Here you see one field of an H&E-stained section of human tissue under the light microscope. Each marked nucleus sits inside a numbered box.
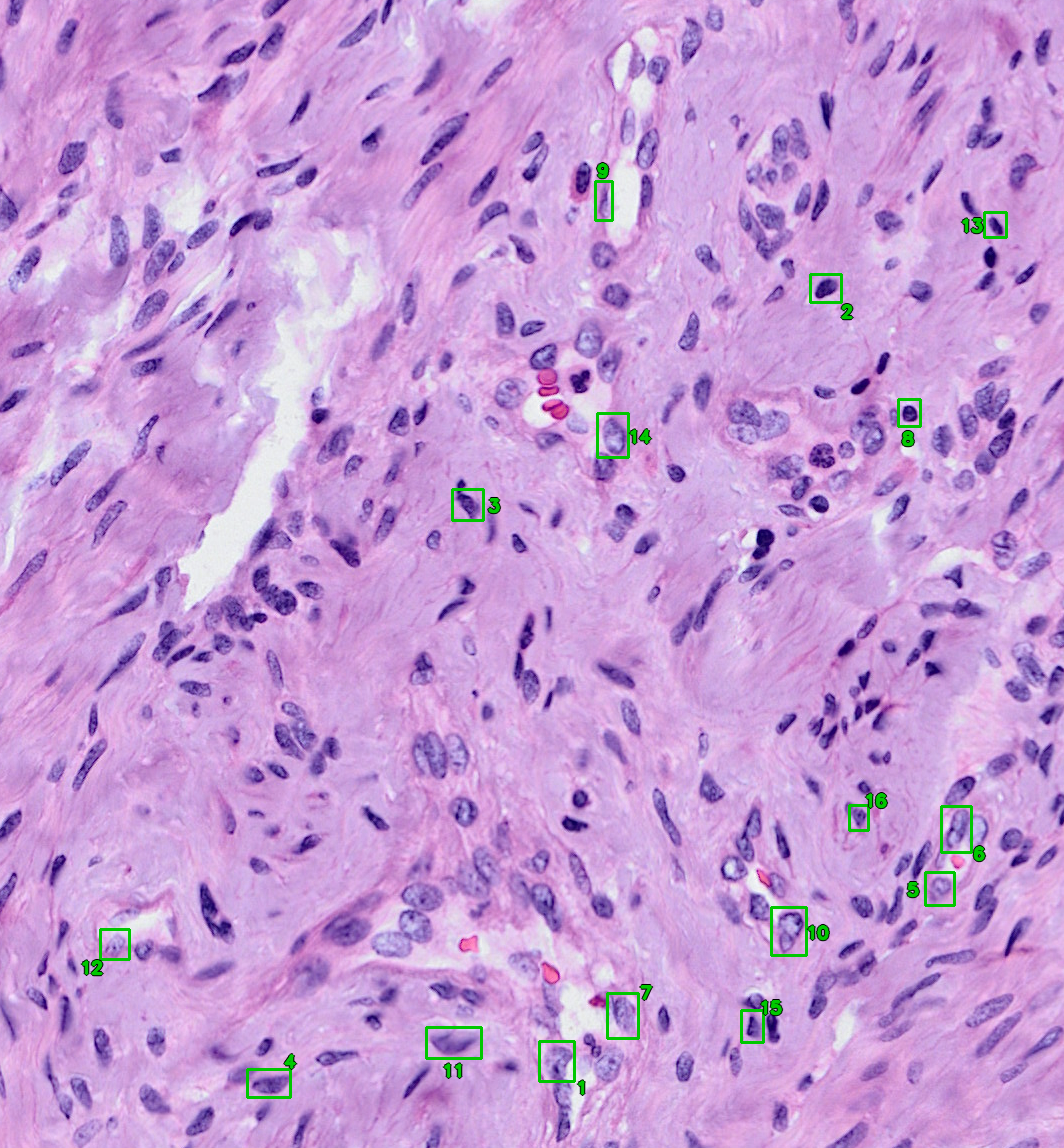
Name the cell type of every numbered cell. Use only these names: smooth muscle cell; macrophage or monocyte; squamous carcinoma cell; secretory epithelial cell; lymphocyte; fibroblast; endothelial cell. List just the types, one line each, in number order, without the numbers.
endothelial cell
lymphocyte
fibroblast
fibroblast
endothelial cell
endothelial cell
endothelial cell
lymphocyte
endothelial cell
endothelial cell
fibroblast
endothelial cell
fibroblast
endothelial cell
fibroblast
smooth muscle cell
